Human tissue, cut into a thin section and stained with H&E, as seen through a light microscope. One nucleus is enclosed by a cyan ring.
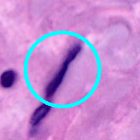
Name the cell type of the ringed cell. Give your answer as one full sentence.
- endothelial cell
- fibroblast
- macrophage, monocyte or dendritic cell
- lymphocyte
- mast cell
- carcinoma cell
The ringed cell appears to be a fibroblast.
